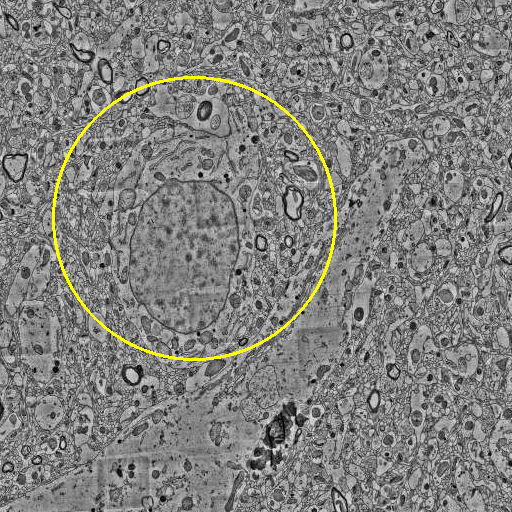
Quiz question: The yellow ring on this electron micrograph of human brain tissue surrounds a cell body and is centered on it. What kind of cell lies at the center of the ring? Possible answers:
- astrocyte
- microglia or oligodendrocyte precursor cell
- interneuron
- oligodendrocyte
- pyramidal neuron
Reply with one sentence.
The ring's center lies on an interneuron.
